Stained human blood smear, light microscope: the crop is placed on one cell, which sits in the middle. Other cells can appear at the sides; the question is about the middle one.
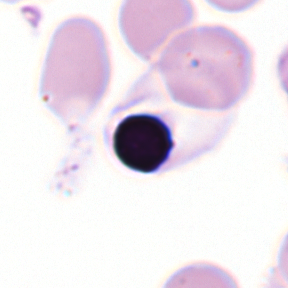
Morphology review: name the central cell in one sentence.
In the middle of this smear crop, the cell is a normoblast.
